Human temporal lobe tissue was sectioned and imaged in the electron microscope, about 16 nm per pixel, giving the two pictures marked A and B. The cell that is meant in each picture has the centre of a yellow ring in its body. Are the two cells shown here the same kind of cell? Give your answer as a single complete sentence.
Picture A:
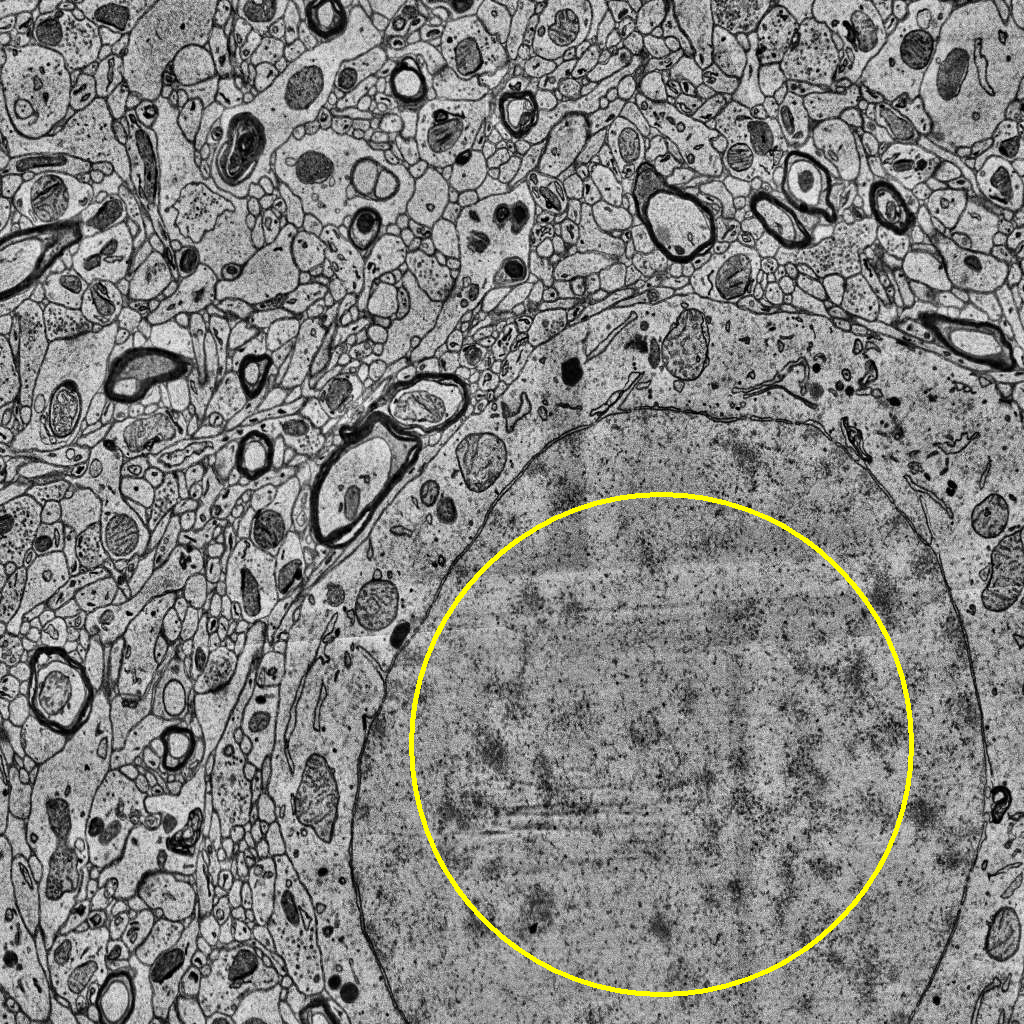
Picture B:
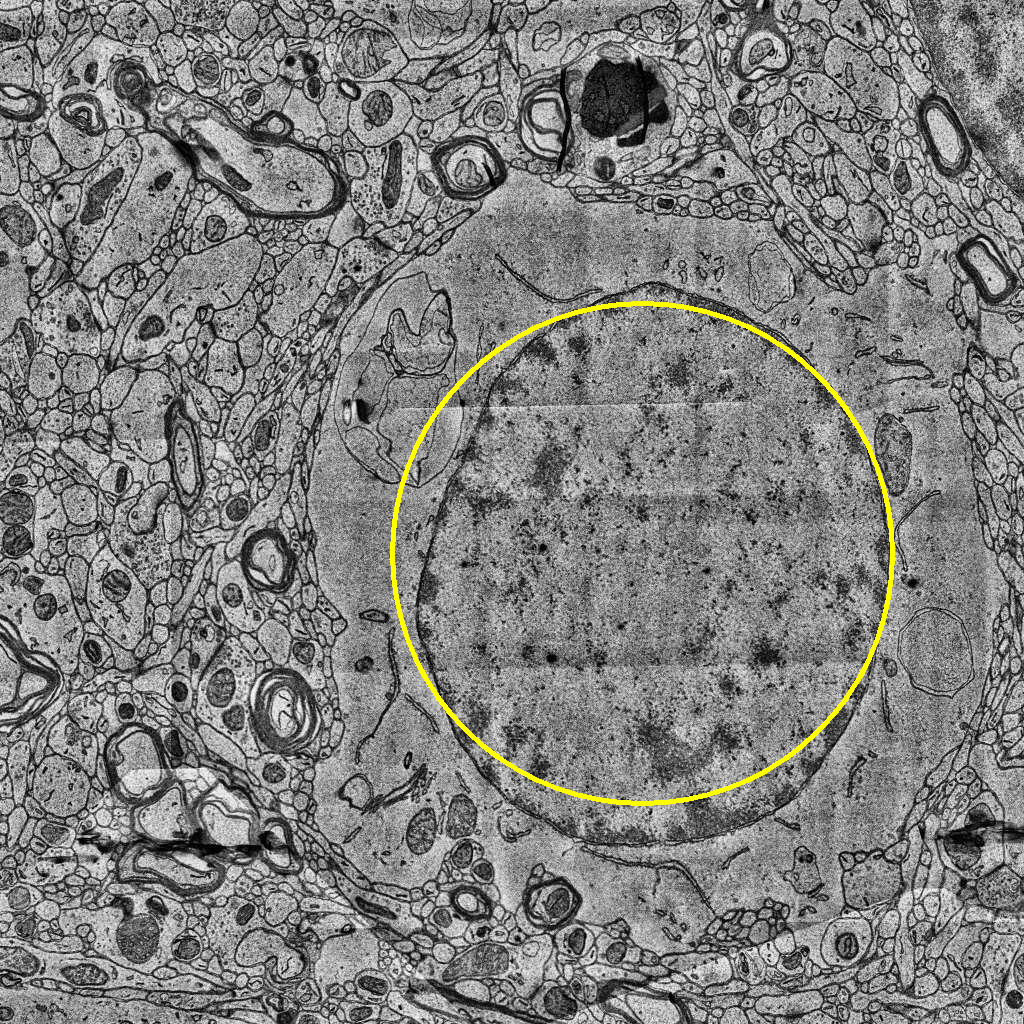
No, picture A shows a pyramidal neuron and picture B shows an astrocyte.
